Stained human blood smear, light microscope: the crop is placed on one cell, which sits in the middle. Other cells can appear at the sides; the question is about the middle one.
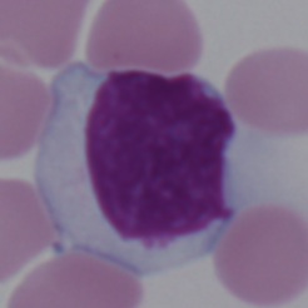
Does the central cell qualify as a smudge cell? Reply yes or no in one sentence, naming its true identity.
No, what lies at the heart of the crop is a typical lymphocyte, not a smudge cell.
